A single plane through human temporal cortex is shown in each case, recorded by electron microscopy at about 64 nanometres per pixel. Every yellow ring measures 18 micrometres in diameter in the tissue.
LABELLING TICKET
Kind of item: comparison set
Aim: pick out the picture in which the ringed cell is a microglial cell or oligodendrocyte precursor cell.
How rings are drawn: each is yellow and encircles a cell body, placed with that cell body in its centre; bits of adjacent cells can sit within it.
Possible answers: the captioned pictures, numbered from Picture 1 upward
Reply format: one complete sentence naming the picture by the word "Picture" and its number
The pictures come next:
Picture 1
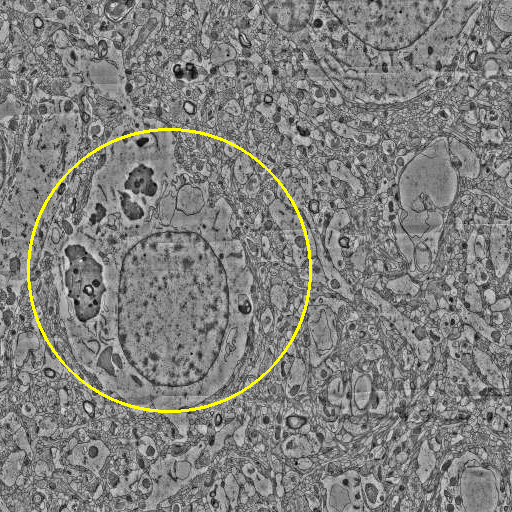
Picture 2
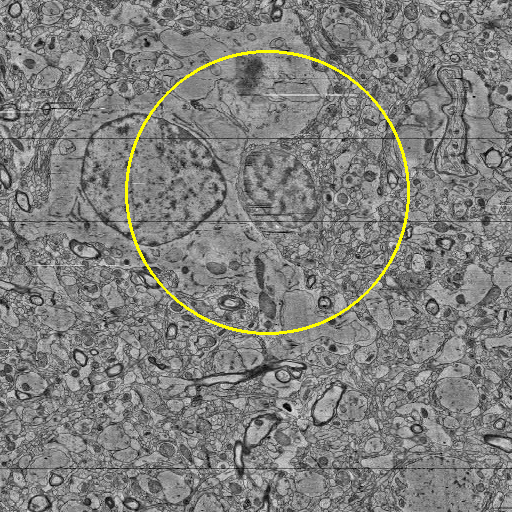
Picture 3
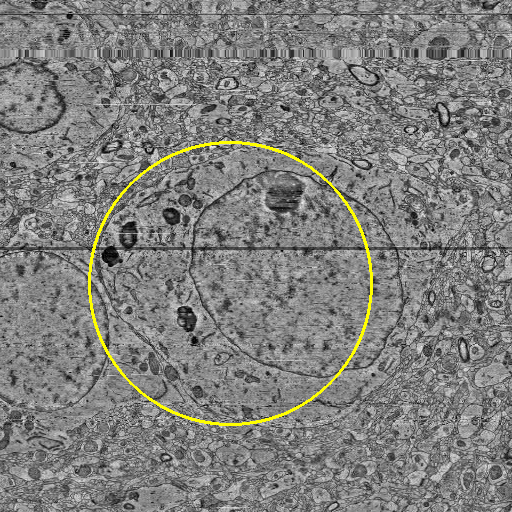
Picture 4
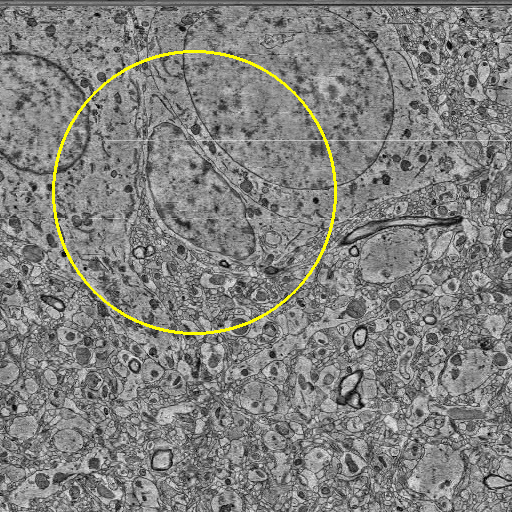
The cell centred inside the yellow ring in Picture 4 is the requested one.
